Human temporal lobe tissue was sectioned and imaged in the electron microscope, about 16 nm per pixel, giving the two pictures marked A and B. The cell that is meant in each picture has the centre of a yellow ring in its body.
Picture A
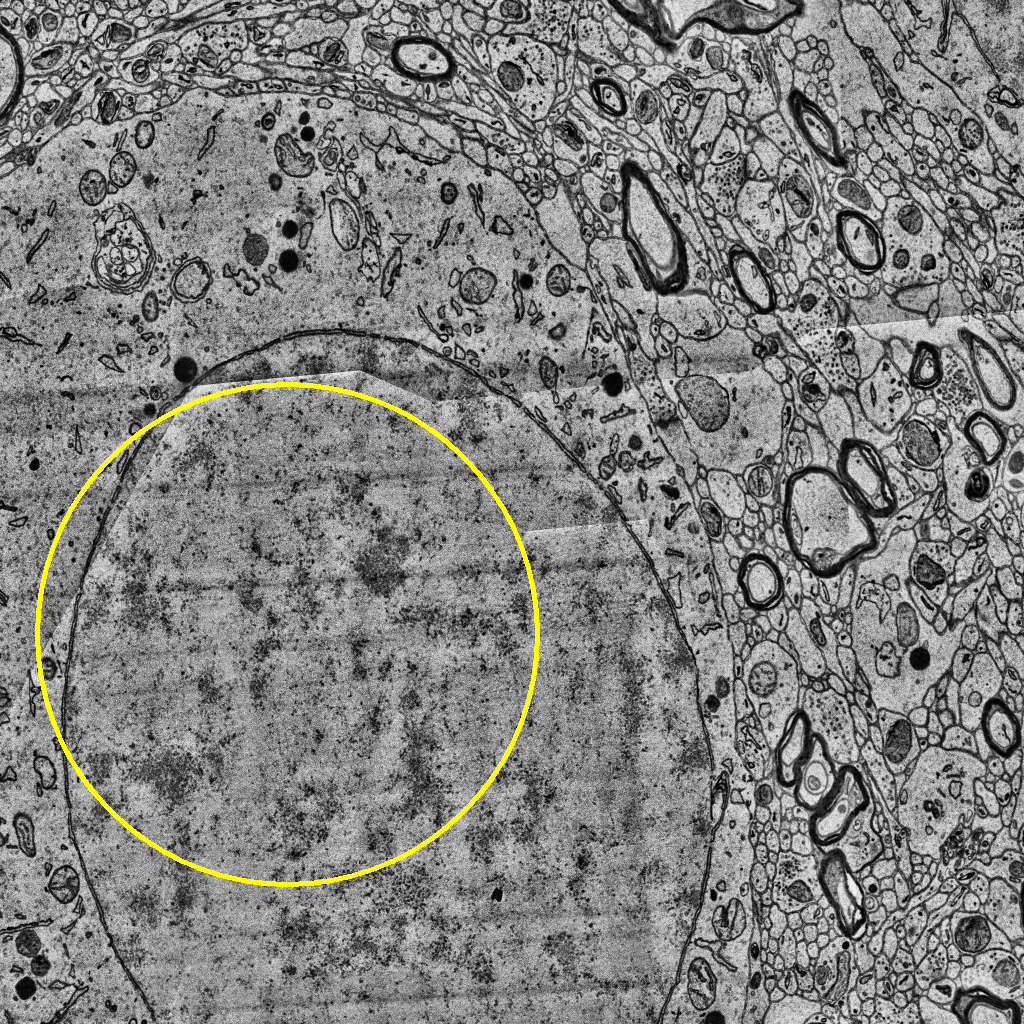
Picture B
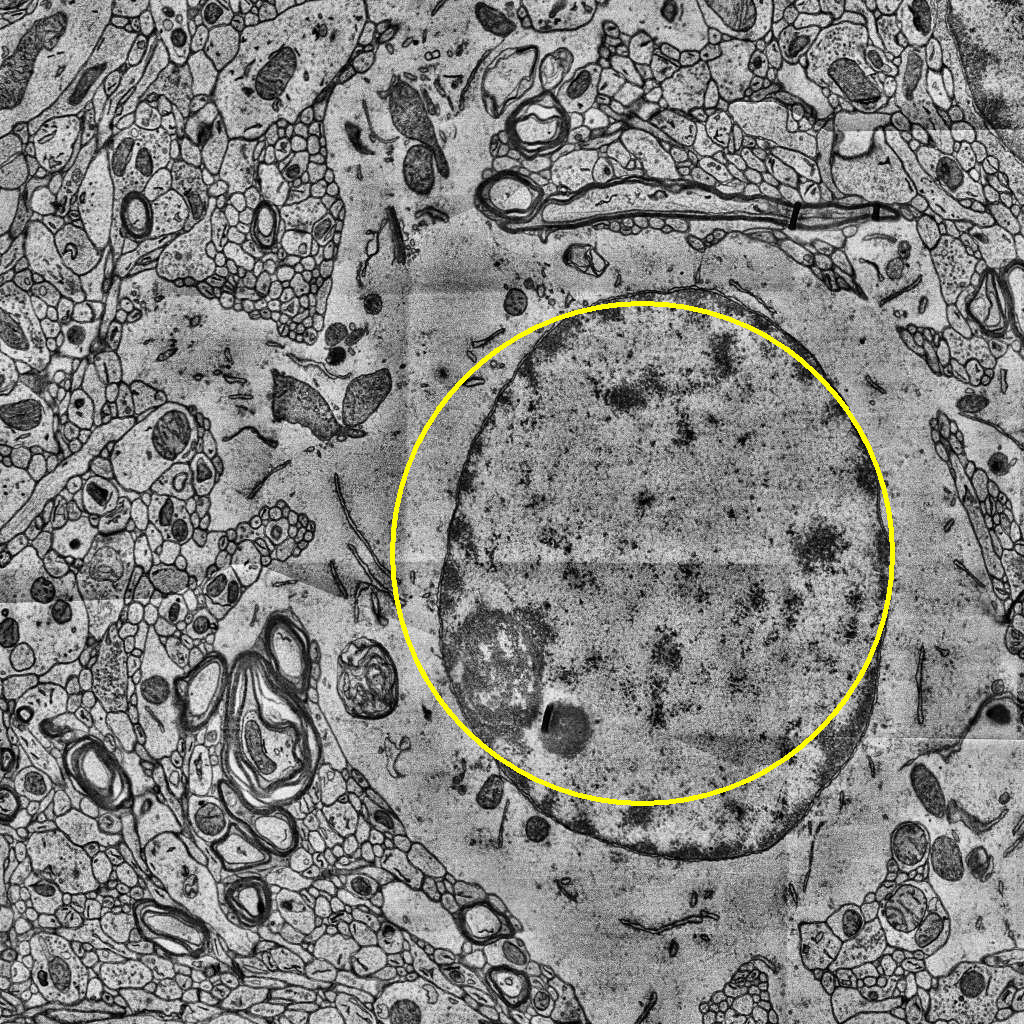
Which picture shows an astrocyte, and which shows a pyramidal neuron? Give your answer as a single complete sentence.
Picture A is of a pyramidal neuron, and picture B is of an astrocyte.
